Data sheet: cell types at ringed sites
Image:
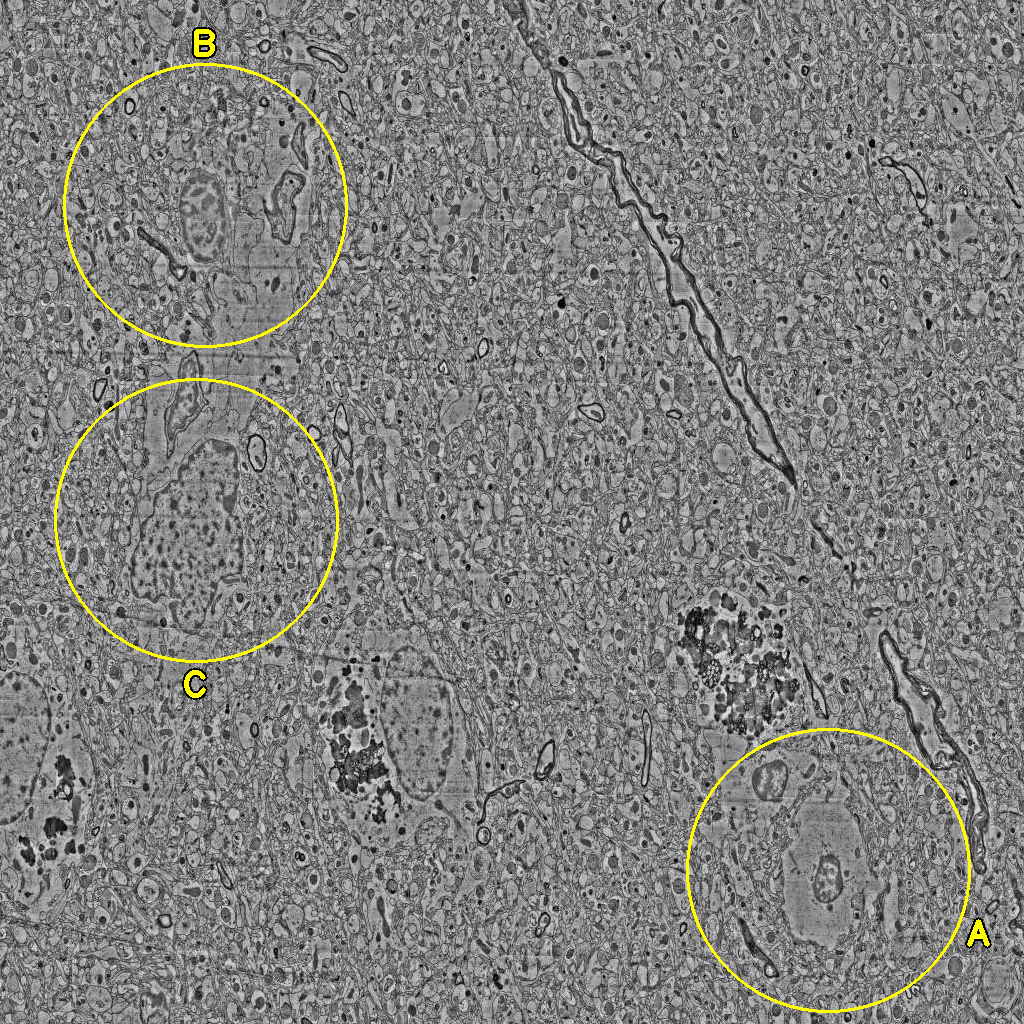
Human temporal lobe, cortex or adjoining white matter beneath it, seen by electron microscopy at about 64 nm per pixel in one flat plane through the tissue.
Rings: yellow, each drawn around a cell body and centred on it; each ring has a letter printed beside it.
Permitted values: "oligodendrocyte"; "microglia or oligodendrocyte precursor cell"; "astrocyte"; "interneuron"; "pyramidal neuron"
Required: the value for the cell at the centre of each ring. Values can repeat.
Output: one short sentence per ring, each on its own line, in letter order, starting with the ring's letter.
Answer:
Ring A has an astrocyte at its centre.
Ring B has an oligodendrocyte at its centre.
Ring C has a microglial cell or oligodendrocyte precursor cell at its centre.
